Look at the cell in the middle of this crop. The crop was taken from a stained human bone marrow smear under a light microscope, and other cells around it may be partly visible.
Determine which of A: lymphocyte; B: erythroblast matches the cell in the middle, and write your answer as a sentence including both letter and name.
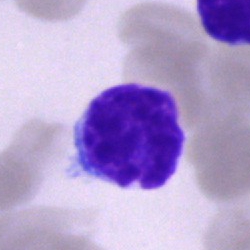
Option A is the correct one; it names the central cell as a lymphocyte.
